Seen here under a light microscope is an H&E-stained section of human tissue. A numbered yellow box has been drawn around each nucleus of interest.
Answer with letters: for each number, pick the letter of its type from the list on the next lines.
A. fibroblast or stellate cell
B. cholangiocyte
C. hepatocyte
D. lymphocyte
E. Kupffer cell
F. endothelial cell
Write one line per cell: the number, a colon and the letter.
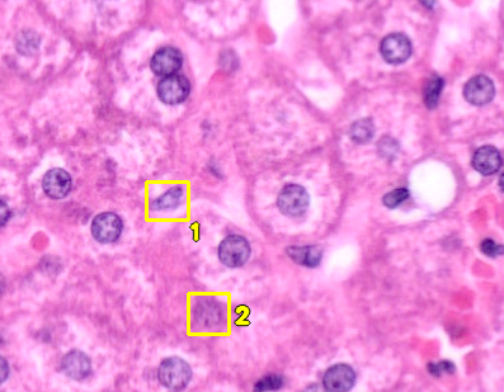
1: E
2: C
